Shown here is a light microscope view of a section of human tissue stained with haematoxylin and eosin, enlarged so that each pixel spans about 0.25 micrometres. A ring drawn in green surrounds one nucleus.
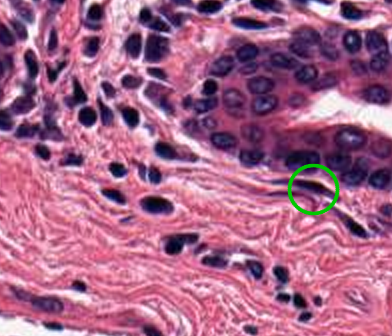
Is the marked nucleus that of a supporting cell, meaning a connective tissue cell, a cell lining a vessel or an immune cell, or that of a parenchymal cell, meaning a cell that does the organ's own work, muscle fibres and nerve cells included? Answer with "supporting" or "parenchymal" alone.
supporting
